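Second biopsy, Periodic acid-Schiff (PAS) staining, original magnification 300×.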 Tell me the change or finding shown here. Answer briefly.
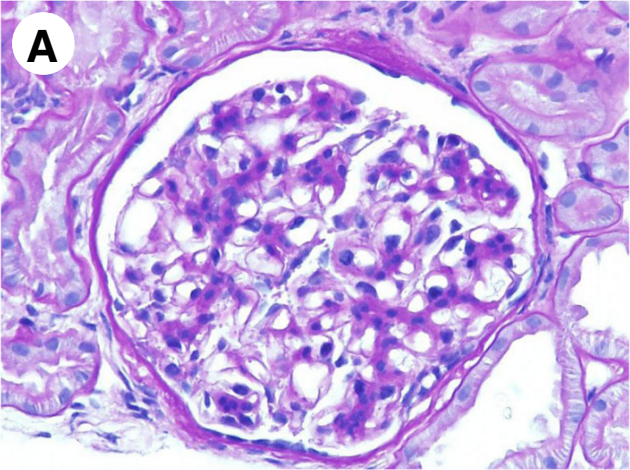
Mild mesangial proliferation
